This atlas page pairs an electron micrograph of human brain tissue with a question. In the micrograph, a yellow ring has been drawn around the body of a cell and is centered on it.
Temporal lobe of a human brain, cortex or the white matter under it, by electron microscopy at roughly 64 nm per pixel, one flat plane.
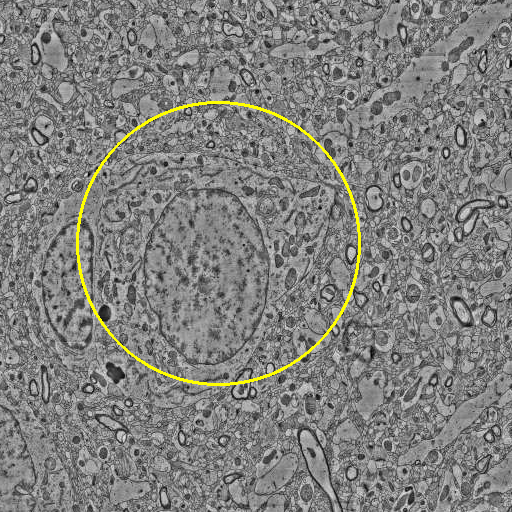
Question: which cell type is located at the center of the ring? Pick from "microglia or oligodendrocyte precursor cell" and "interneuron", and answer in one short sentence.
Located at the center of the ring is an interneuron.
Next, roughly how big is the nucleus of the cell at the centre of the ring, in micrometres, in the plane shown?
About 11 by 8 micrometers for the nucleus, in this plane.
